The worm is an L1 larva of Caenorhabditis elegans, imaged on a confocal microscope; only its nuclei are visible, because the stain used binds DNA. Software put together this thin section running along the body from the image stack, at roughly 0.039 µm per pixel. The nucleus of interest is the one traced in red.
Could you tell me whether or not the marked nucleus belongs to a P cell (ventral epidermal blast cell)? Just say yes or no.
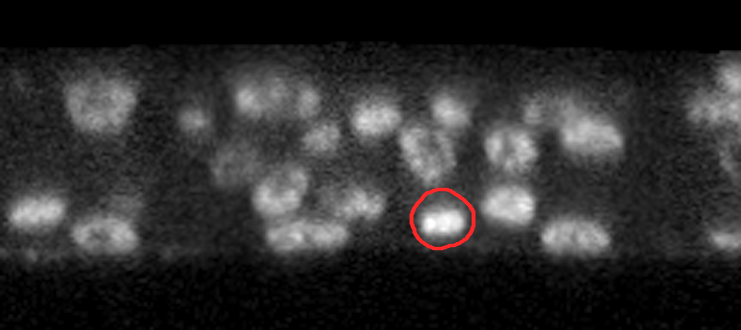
no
